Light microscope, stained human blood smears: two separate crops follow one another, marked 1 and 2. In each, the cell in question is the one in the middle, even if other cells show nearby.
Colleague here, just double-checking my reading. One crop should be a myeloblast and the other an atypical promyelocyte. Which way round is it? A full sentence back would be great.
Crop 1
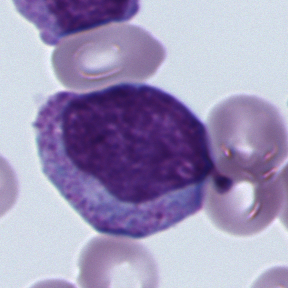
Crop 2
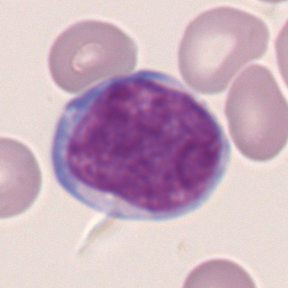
Crop 1 features an atypical promyelocyte, and crop 2 features a myeloblast.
